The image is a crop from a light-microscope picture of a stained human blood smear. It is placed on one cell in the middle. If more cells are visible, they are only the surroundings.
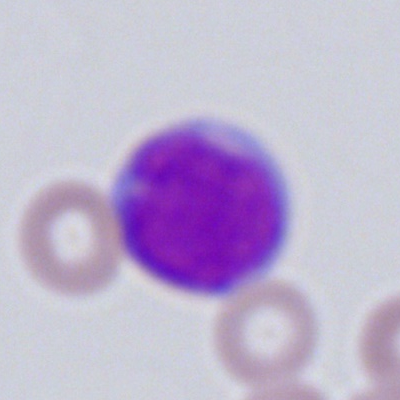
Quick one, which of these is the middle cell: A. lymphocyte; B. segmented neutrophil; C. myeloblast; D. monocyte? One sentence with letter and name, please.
The centrally positioned cell is a myeloblast, consistent with option C, which is correct.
